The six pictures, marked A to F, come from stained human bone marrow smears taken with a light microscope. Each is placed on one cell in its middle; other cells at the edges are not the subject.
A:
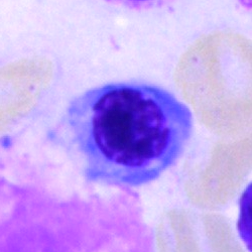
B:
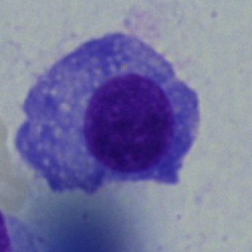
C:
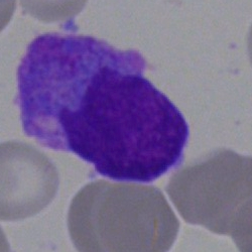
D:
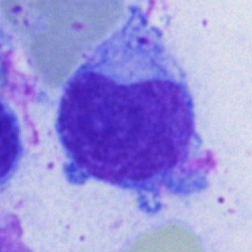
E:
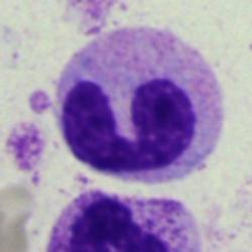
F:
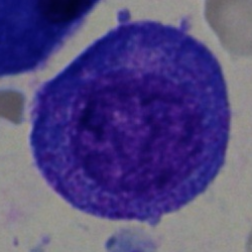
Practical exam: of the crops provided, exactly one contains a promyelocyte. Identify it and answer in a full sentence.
The crop in which a promyelocyte is shown is crop F.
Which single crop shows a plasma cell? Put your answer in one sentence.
The one that shows a plasma cell is crop B.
